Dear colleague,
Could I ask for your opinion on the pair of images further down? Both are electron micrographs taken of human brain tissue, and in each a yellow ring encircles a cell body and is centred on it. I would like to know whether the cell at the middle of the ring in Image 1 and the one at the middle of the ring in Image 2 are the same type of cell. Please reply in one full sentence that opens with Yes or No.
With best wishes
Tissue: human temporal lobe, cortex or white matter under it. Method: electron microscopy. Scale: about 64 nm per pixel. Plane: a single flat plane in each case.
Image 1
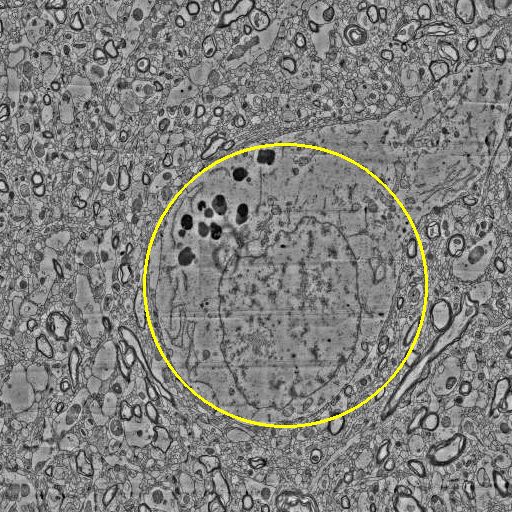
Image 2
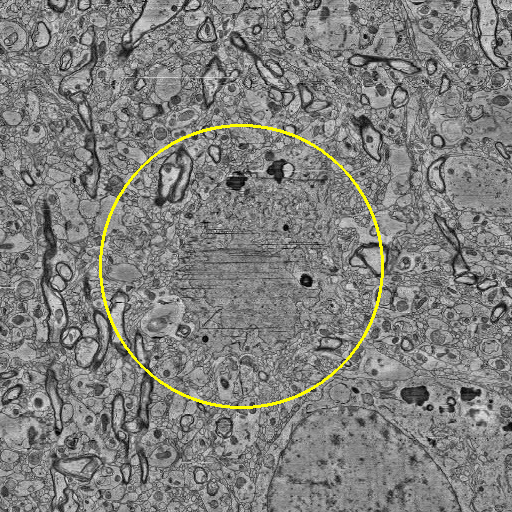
Yes, the cells at the ring centres in Image 1 and Image 2 are of one type.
